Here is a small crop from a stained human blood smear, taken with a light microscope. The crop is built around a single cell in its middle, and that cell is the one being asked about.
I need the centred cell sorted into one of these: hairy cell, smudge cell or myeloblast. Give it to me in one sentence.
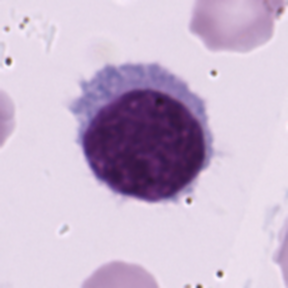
Occupying the centre of the crop is a hairy cell.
